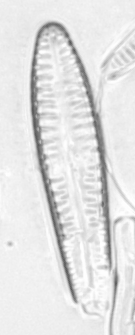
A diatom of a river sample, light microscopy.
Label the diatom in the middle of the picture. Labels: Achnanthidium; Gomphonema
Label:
Gomphonema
